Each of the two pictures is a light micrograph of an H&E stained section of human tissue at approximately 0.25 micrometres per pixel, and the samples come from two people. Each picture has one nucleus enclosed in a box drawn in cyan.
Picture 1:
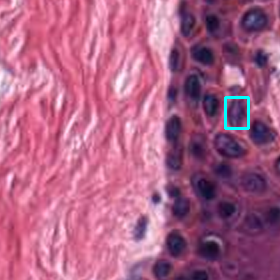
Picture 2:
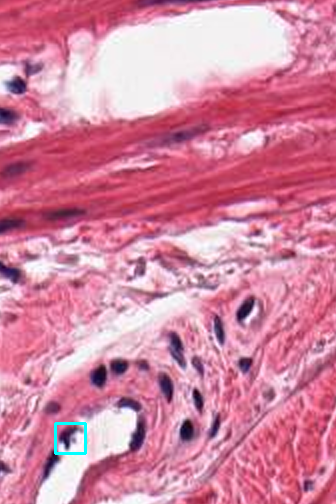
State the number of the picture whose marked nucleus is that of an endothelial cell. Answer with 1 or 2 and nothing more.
2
